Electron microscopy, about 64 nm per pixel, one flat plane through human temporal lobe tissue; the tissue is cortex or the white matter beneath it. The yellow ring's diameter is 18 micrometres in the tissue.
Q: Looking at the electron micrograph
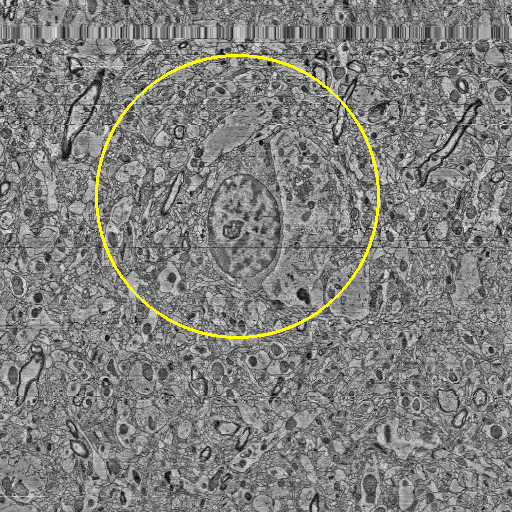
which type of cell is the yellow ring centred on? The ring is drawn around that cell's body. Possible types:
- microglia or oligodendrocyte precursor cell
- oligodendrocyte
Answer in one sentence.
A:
The yellow ring is centred on an oligodendrocyte.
